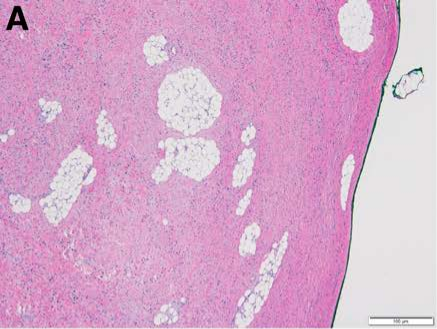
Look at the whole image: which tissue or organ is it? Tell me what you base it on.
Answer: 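Fat components. Scattered pale, rounded islands of clear vacuolated cells lie within the pink mass. The islands have a honeycomb of thin septa typical of adipose tissue.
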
